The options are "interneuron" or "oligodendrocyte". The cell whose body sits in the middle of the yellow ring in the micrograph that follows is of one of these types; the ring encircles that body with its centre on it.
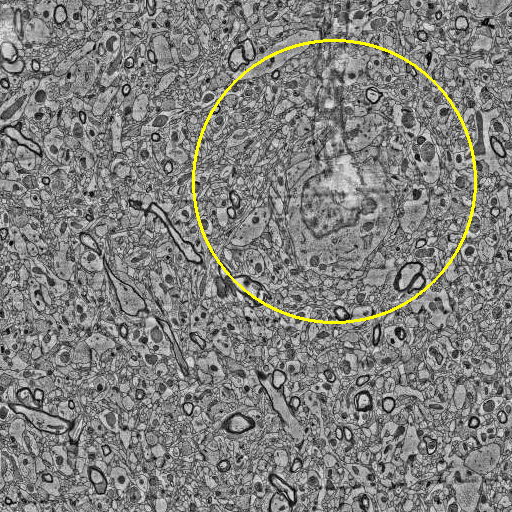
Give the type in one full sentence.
Going by the micrograph, the cell centred in the yellow ring is an interneuron.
